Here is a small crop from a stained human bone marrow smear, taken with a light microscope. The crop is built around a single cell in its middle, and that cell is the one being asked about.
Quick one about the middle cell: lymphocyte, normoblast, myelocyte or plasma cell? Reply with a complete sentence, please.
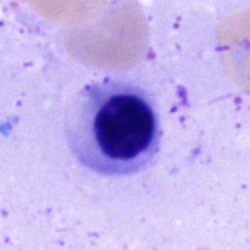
This crop has a normoblast at its centre.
